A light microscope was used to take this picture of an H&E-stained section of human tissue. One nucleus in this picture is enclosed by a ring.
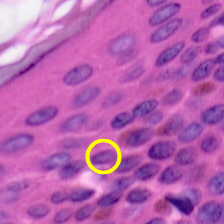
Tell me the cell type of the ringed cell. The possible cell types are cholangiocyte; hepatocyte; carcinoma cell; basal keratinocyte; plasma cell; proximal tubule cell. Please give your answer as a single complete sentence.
In the tissue at hand, the ringed cell is a basal keratinocyte.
